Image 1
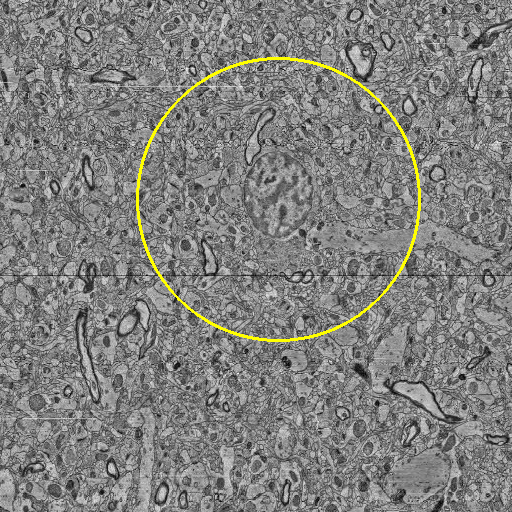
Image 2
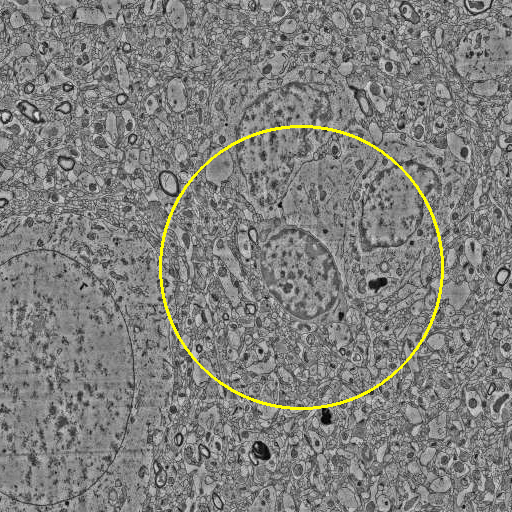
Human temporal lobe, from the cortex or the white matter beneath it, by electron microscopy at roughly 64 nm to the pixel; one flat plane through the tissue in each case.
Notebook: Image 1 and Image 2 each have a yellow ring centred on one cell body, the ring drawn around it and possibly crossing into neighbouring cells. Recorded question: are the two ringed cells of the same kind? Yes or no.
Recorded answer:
yes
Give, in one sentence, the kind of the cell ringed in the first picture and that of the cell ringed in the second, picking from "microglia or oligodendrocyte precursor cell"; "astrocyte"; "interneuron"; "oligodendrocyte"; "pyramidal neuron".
Each of the two pictures has an oligodendrocyte at the ring centre.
